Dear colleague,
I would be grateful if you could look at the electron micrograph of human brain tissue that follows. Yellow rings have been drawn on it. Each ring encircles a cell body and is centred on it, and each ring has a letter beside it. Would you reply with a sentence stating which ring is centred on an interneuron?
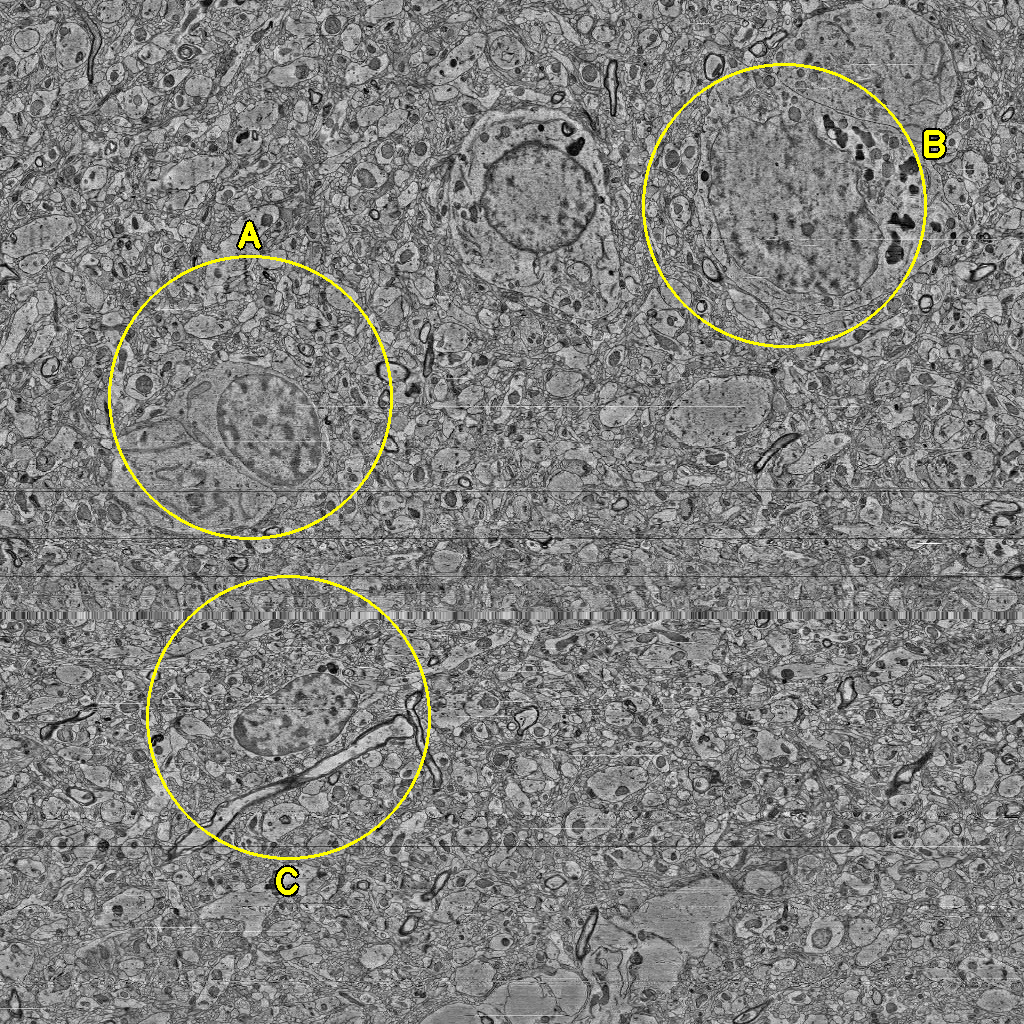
The ring centred on it is ring B.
